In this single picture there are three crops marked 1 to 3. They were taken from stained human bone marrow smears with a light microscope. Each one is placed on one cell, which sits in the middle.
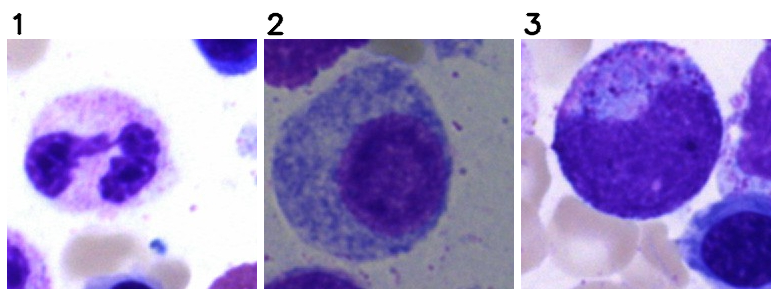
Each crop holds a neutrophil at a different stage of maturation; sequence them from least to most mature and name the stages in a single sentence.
Sorted by stage of maturation, earliest first, the sequence is crop 3 (a promyelocyte), crop 2 (a myelocyte) and crop 1 (a segmented neutrophil).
